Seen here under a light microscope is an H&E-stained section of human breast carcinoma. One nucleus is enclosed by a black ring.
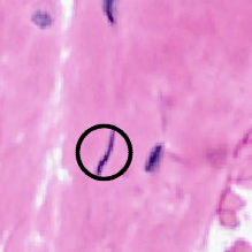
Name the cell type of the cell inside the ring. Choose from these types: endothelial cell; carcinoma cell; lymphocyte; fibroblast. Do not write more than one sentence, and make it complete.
The expected answer is simply that the cell inside the ring is a fibroblast.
